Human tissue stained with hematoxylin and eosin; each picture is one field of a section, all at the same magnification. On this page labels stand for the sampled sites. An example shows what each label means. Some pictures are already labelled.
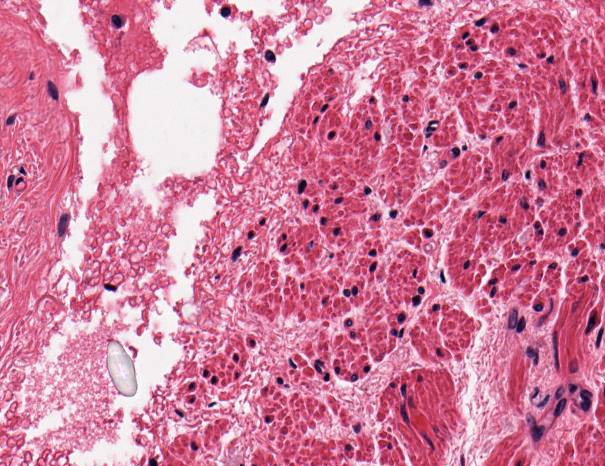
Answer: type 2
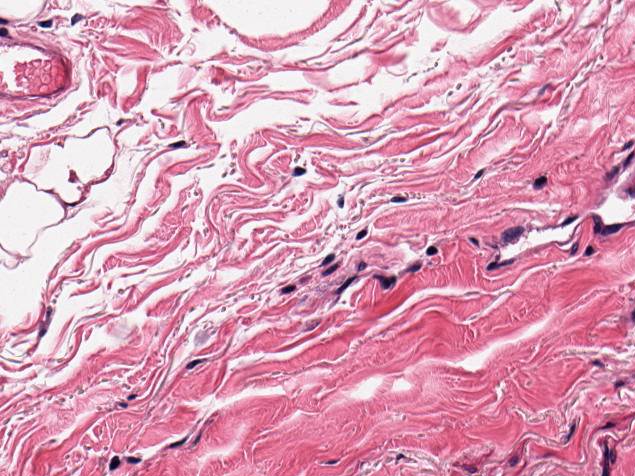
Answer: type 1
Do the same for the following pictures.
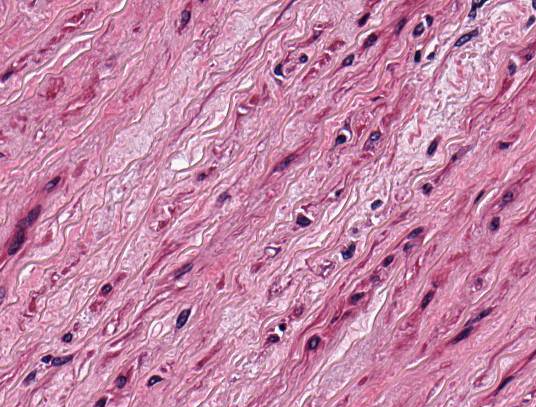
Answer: type 1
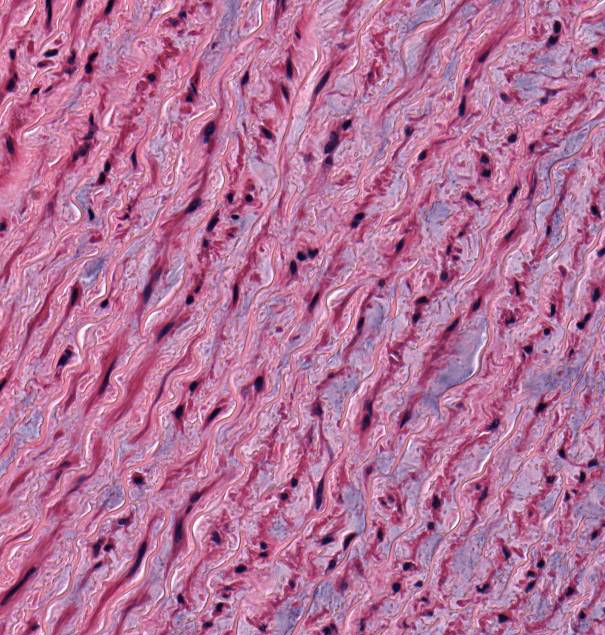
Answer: type 1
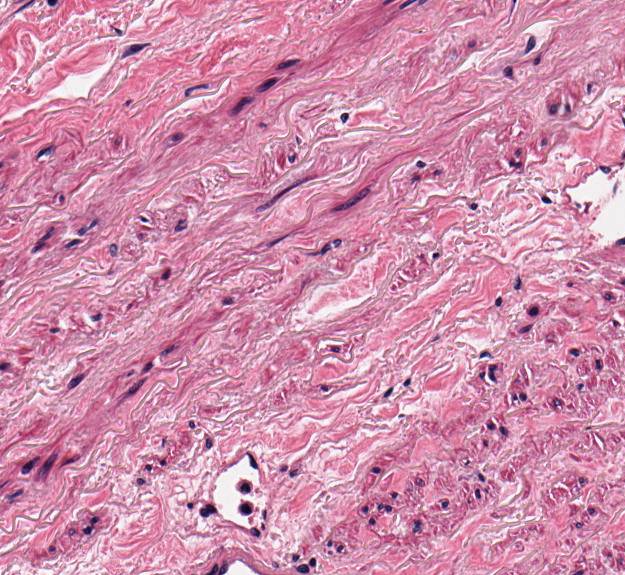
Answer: type 1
